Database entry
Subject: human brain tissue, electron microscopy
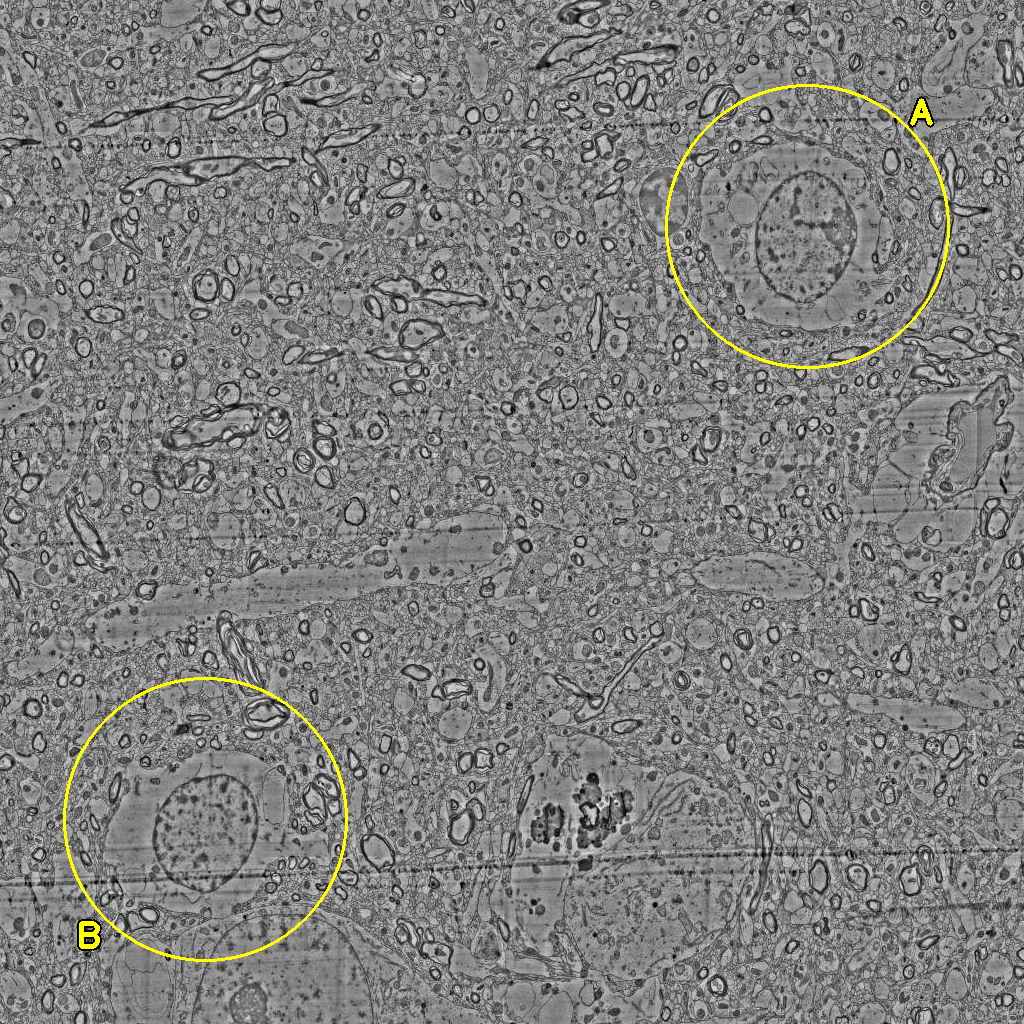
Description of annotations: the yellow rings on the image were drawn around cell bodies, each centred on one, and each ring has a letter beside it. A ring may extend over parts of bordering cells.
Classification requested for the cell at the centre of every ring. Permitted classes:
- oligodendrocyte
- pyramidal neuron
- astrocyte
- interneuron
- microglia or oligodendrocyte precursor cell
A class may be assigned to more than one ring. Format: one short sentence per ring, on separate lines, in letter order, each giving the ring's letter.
The cell body at the centre of ring A is an astrocyte.
The cell body at the centre of ring B is an astrocyte.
